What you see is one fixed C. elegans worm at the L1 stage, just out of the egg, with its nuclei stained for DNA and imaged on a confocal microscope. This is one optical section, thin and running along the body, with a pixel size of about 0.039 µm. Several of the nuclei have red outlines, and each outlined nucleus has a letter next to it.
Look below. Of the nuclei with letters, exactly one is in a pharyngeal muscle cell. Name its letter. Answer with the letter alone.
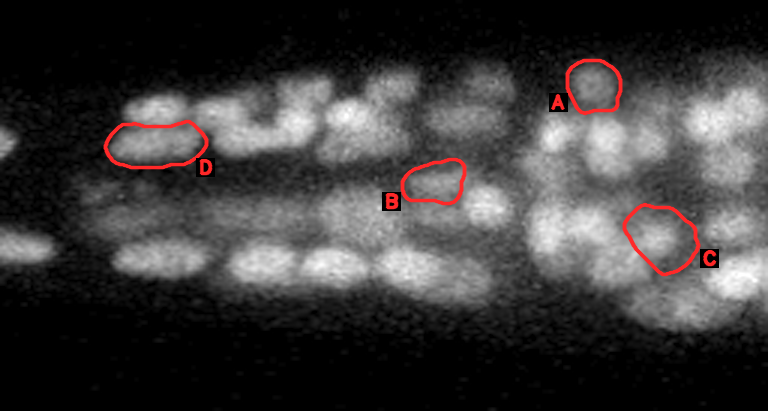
B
